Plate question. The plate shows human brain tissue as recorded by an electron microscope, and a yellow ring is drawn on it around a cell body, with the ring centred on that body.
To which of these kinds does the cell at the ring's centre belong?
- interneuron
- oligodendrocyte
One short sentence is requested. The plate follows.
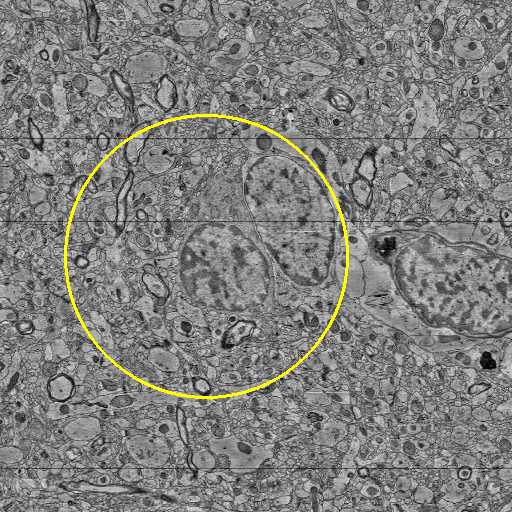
The cell at the ring's centre is an oligodendrocyte.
